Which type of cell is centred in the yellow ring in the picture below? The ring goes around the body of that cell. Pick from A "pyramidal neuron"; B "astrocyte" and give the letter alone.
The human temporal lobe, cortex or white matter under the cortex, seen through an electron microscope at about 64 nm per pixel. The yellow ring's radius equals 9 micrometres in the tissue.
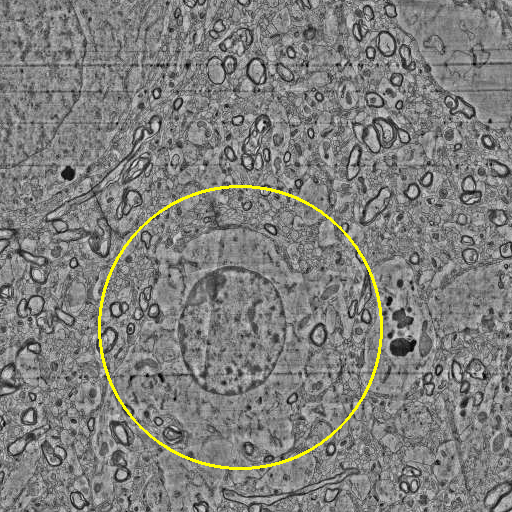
B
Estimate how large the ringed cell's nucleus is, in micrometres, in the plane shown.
Roughly 8 micrometres by 7 micrometres, in this plane.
